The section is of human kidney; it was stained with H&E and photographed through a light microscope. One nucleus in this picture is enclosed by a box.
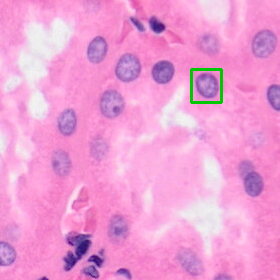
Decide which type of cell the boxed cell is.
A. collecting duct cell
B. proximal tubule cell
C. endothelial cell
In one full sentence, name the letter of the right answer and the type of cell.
Here the correct option is B, since the boxed cell is a proximal tubule cell.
